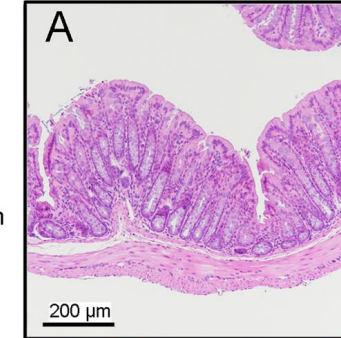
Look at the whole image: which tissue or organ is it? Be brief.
Colons.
